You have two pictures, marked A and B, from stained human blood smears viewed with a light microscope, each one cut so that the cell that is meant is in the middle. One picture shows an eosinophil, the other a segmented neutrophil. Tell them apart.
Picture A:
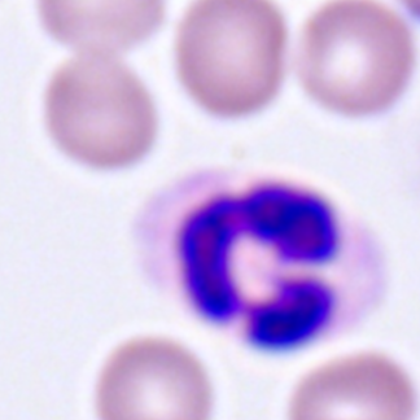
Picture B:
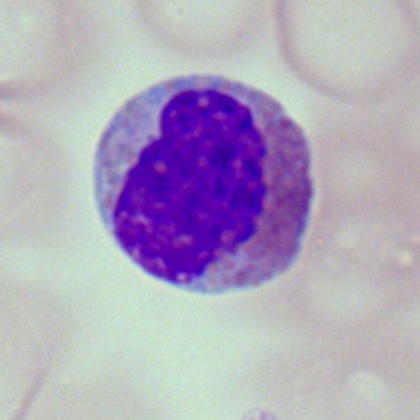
A: segmented neutrophil
B: eosinophil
